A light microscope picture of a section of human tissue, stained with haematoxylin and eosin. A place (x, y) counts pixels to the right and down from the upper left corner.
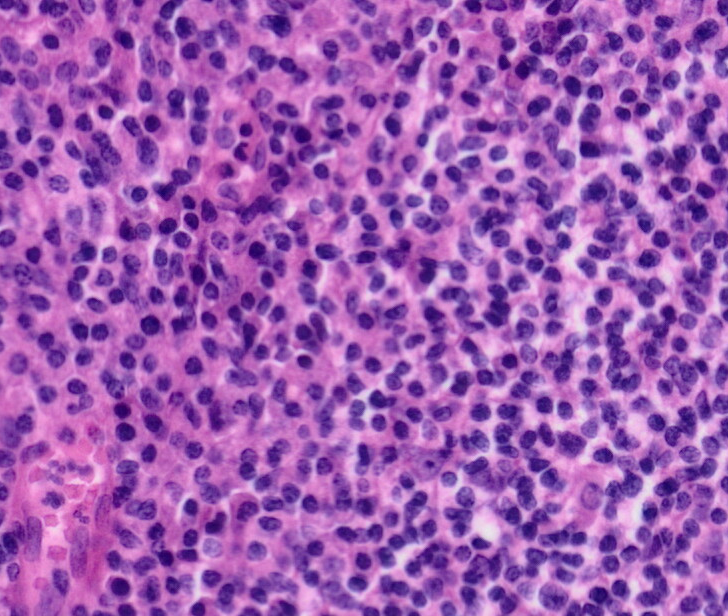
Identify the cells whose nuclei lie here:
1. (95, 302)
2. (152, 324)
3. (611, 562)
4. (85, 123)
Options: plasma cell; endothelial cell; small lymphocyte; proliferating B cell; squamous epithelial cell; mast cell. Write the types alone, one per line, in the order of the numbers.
plasma cell
plasma cell
small lymphocyte
plasma cell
